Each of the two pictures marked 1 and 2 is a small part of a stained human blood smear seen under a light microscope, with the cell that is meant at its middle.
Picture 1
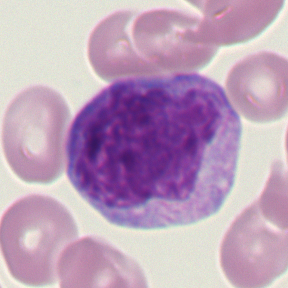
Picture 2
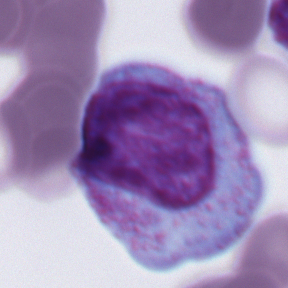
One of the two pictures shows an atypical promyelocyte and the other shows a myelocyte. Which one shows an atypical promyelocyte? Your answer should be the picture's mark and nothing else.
1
